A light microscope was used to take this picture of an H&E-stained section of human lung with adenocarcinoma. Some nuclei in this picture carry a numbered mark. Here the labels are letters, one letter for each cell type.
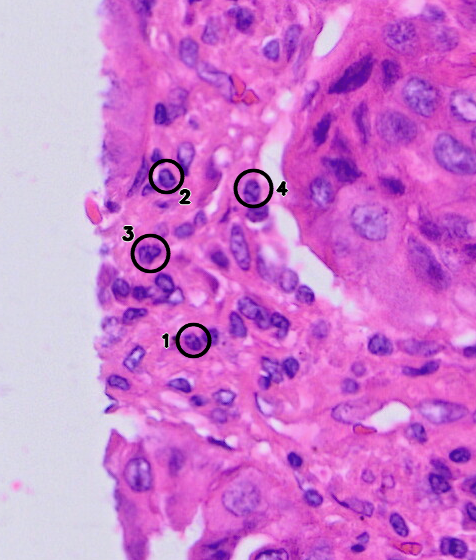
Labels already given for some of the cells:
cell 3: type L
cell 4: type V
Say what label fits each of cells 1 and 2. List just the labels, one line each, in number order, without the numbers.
type L
type V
